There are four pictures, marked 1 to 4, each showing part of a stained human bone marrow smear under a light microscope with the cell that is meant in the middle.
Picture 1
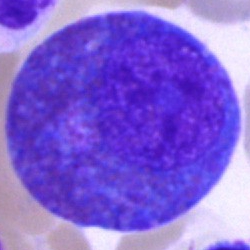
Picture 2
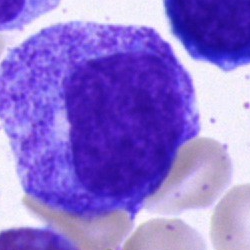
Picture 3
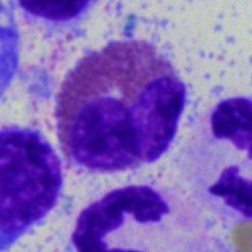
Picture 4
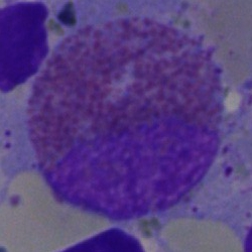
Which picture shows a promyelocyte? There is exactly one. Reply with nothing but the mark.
2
